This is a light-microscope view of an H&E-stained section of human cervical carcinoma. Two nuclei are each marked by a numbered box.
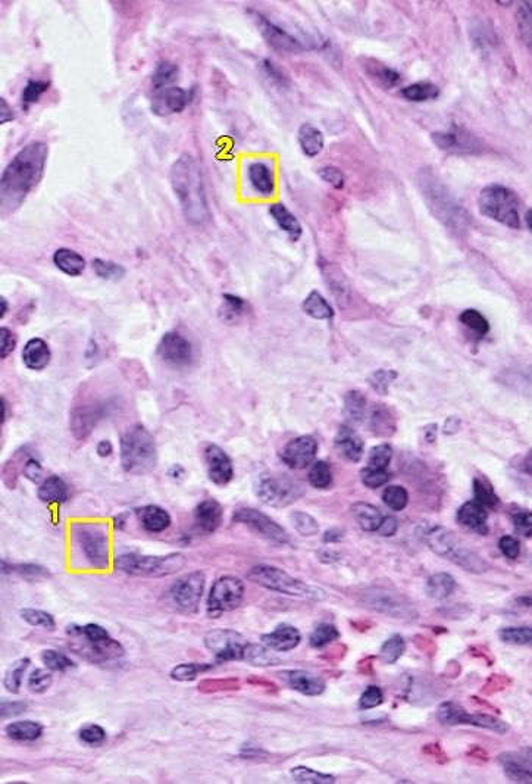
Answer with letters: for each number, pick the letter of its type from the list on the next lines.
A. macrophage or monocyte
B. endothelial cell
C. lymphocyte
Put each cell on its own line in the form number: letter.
1: B
2: C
